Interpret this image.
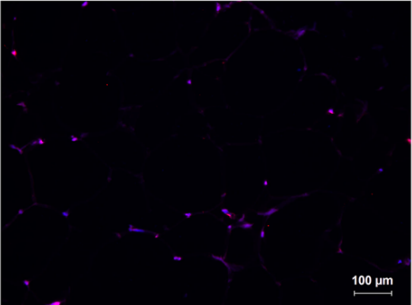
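Thin pinkish-purple strands and small elongated bright spots form a loose network between the dark spaces. Nuclei lie singly and far apart rather than in clusters.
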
